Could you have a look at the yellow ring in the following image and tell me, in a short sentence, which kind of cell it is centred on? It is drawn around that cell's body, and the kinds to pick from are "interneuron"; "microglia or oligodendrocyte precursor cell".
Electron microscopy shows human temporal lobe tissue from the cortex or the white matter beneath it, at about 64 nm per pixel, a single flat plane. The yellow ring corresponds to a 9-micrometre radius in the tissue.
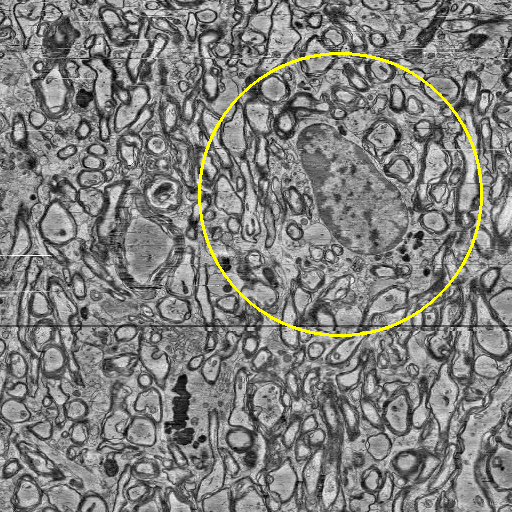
The ring is centred on the body of a microglial cell or oligodendrocyte precursor cell.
